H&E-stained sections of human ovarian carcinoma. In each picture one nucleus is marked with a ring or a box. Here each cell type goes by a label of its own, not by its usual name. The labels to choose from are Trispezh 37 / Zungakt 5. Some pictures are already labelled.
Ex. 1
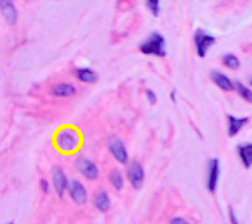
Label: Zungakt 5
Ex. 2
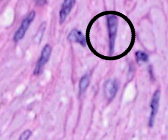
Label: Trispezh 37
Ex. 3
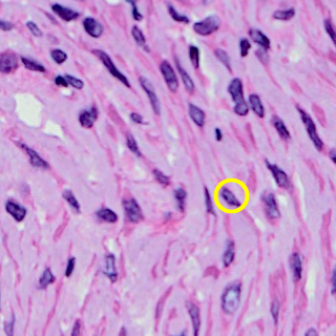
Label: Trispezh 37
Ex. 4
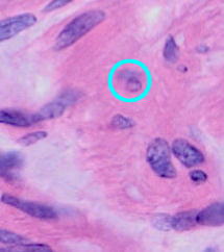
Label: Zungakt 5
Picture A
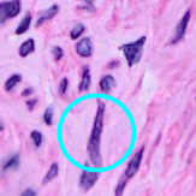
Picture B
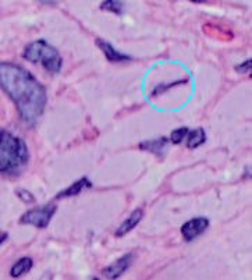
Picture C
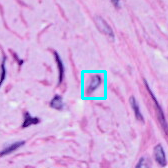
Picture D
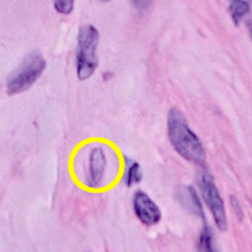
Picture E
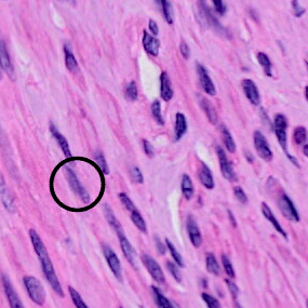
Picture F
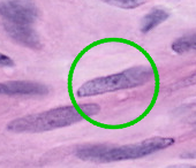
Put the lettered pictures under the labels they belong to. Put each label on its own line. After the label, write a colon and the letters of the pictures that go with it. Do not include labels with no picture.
Trispezh 37: B, C
Zungakt 5: A, D, E, F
